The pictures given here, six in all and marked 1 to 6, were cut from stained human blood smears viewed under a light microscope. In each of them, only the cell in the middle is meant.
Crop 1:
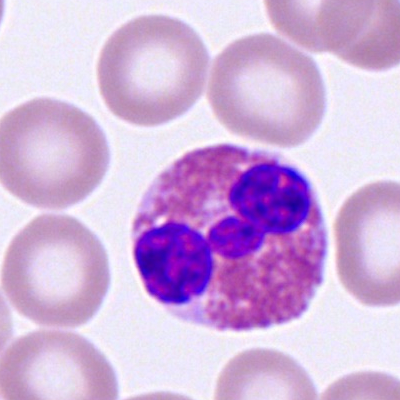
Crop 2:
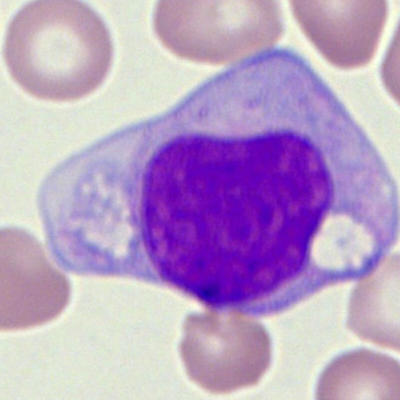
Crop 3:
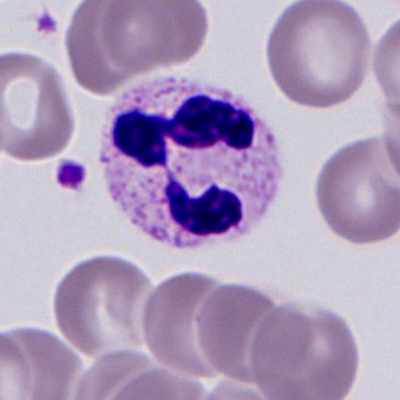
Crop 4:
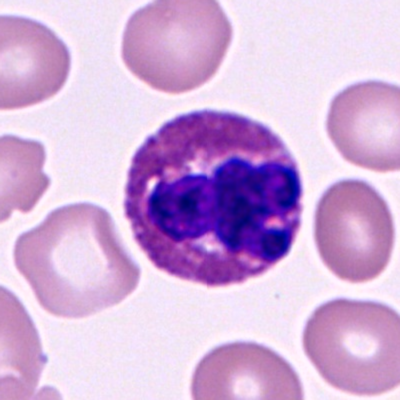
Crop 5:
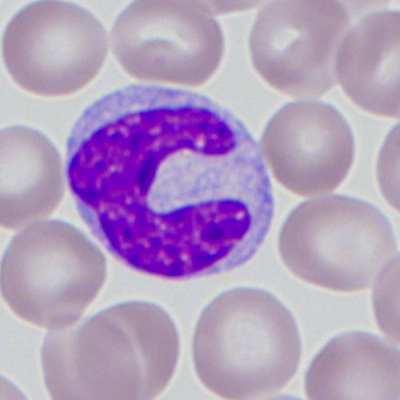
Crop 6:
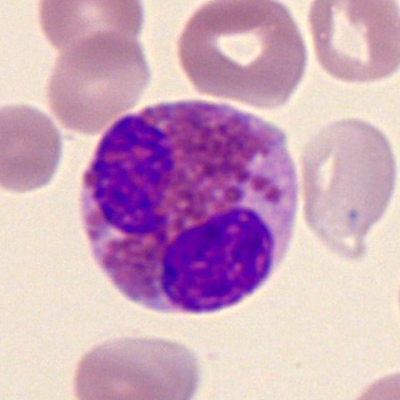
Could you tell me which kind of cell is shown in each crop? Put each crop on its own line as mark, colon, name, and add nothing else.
1: eosinophil
2: monocyte
3: neutrophil
4: eosinophil
5: monocyte
6: eosinophil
